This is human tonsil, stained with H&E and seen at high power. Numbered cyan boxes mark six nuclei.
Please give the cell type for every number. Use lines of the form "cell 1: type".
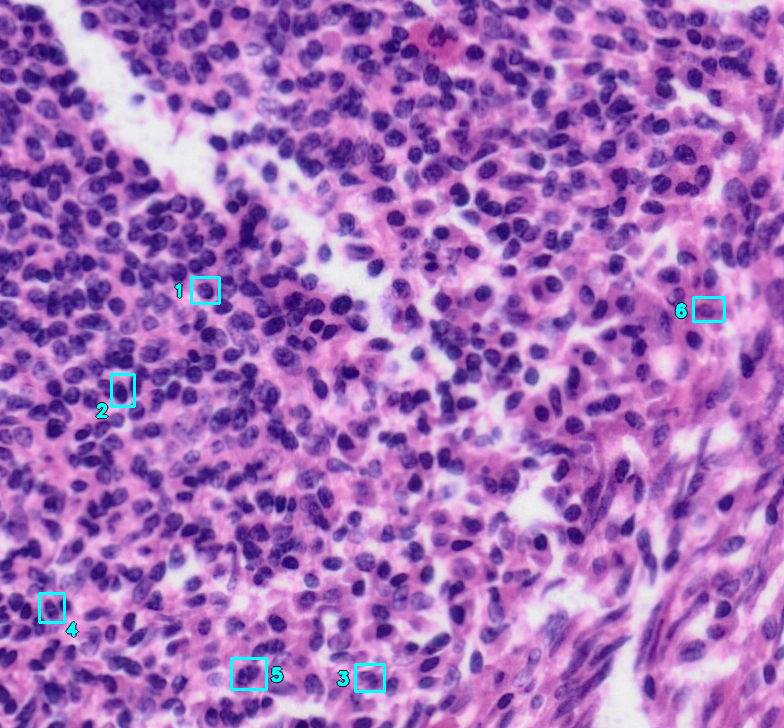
cell 1: small lymphocyte
cell 2: small lymphocyte
cell 3: plasma cell
cell 4: small lymphocyte
cell 5: plasma cell
cell 6: plasma cell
